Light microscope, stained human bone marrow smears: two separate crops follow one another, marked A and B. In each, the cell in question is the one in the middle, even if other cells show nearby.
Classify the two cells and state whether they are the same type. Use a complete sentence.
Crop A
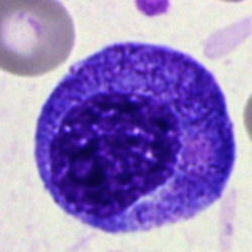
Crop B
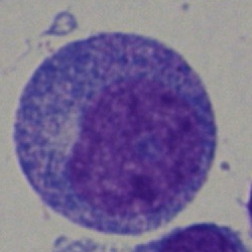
Yes, both crops show promyelocytes, and that holds for each one.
